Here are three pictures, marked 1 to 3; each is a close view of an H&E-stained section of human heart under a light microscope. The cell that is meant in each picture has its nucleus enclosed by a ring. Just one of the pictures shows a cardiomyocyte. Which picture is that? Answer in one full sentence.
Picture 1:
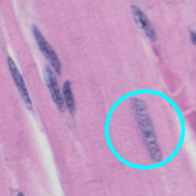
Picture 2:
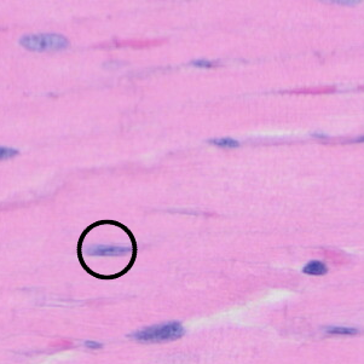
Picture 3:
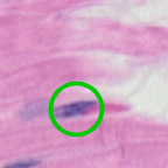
The picture with the cardiomyocyte is 1.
